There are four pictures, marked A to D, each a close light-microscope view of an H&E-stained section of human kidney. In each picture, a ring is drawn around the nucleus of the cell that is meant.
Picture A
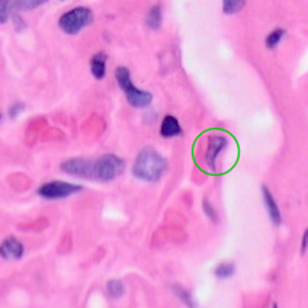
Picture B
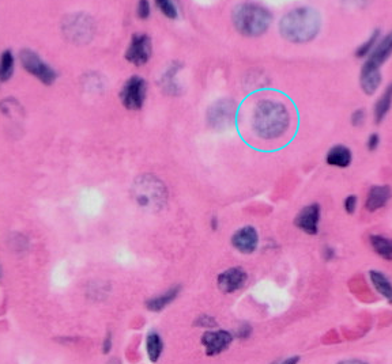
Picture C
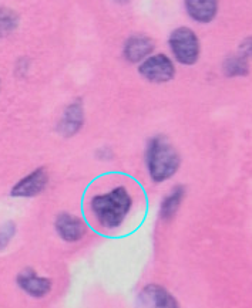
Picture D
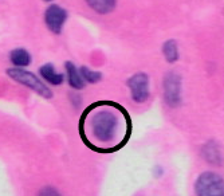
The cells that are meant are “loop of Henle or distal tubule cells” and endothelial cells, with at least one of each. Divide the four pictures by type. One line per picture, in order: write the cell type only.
endothelial cell
loop of Henle or distal tubule cell
loop of Henle or distal tubule cell
loop of Henle or distal tubule cell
